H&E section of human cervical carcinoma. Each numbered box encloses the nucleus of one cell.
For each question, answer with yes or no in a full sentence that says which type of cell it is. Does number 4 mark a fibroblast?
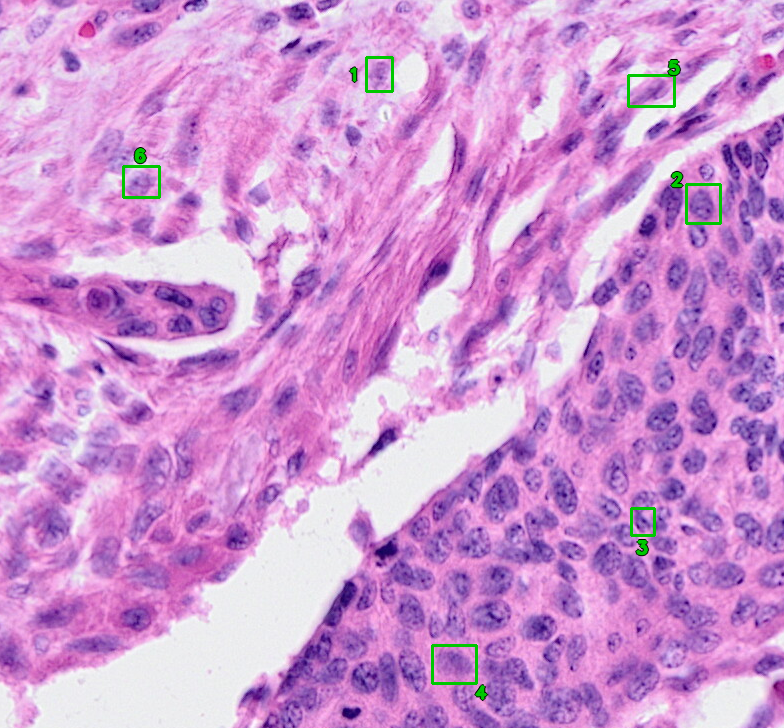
No, cell 4 is not a fibroblast; a squamous carcinoma cell is the correct identification.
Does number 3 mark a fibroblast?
No, cell 3 is not to be taken for a fibroblast; it is a squamous carcinoma cell.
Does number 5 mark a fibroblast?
Yes, number 5 in this section denotes a fibroblast.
